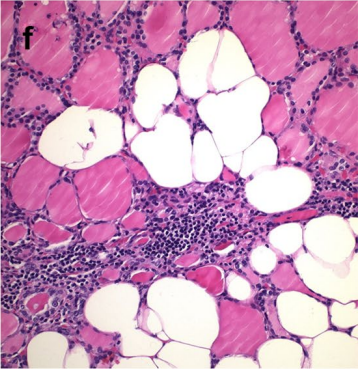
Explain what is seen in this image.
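This is thyroid tissue with follicles filled with pink colloid and lined by low cuboidal cells, among which lie groups of large, empty, round fat cells. The fat cells have thin walls and clear interiors, and they sit directly between the follicles rather than in a separate layer. Across the middle runs a band of densely packed small cells with dark round nuclei and scant cytoplasm, a lymphocytic infiltrate. Together the fat cells and the lymphocytes among the follicles show adipocytic infiltration and lymphocytic thyroiditis.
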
